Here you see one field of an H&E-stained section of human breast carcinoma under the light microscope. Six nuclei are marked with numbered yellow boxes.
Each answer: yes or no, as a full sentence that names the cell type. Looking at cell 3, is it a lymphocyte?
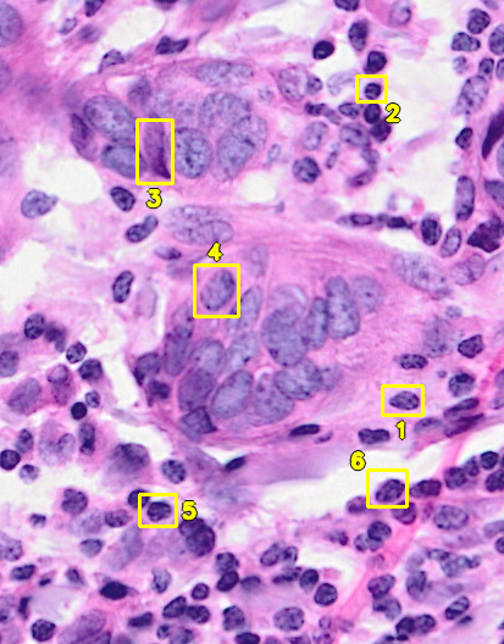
No, the cell tagged 3 is a carcinoma cell, and not a lymphocyte.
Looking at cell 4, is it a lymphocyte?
No, cell 4 is a carcinoma cell, not a lymphocyte.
